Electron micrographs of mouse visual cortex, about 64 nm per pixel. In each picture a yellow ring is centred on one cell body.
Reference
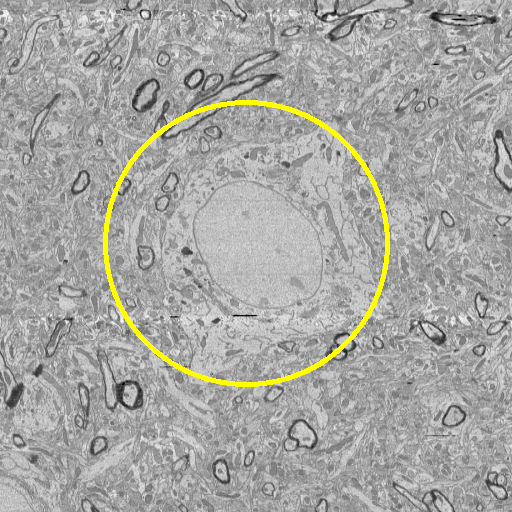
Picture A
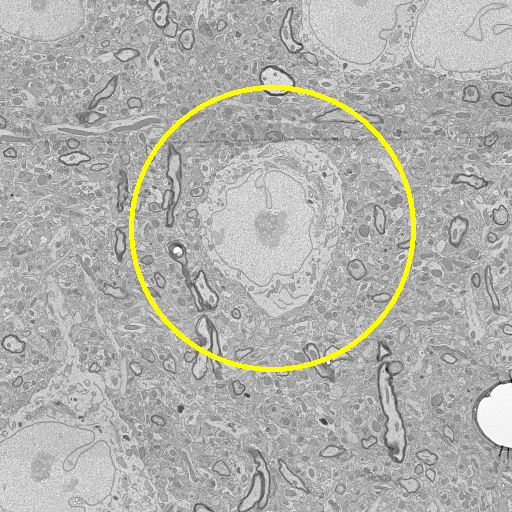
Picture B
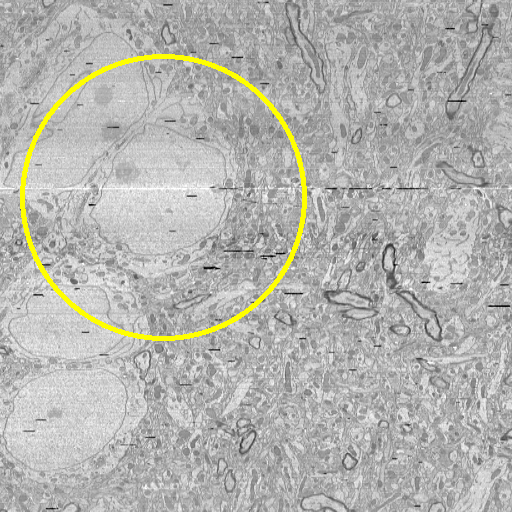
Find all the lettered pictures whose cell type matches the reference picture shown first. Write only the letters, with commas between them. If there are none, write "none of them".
A, B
